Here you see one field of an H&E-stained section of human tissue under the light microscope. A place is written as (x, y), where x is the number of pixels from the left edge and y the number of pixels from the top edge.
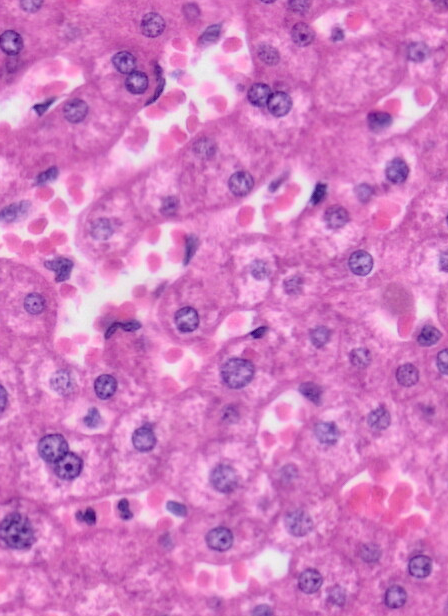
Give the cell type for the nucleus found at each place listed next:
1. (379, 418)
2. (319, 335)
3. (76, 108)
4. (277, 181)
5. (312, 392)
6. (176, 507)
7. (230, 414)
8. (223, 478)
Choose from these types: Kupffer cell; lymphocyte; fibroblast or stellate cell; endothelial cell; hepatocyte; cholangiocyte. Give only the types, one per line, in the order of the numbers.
hepatocyte
hepatocyte
hepatocyte
Kupffer cell
endothelial cell
lymphocyte
hepatocyte
hepatocyte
